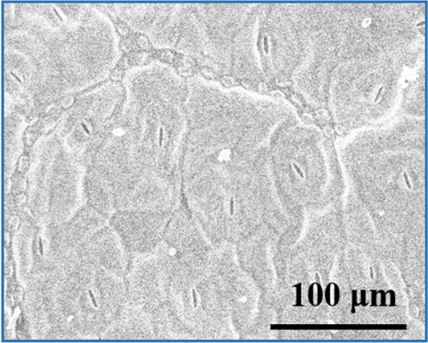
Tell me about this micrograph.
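This scanning electron view shows the epidermis of the leaf surface with pavement cells and stomata. The pavement cells are large and flat, with irregular outlines marked by low, faintly raised walls. The stomata are scattered across the field rather than arranged in rows. A line of small, beaded cells runs along the upper part of the field.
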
